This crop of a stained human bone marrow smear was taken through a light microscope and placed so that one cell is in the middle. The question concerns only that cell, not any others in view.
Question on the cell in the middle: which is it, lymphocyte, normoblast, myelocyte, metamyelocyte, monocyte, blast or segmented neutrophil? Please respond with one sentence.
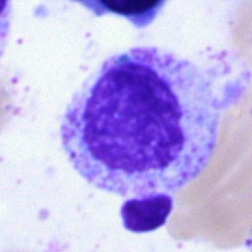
Of the cells in this crop, the central one is a myelocyte.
